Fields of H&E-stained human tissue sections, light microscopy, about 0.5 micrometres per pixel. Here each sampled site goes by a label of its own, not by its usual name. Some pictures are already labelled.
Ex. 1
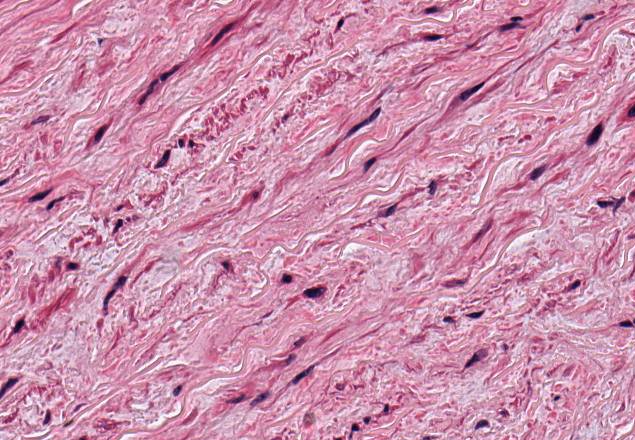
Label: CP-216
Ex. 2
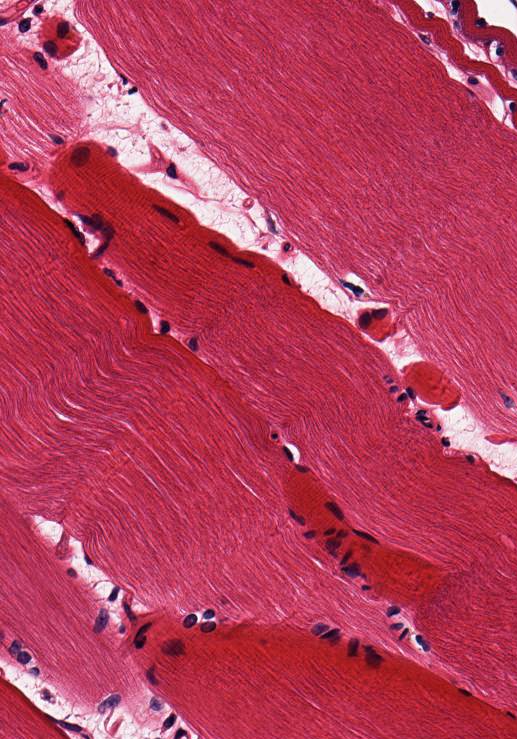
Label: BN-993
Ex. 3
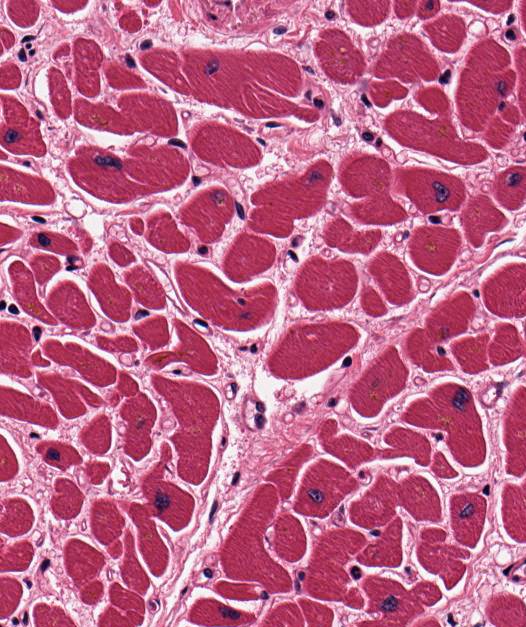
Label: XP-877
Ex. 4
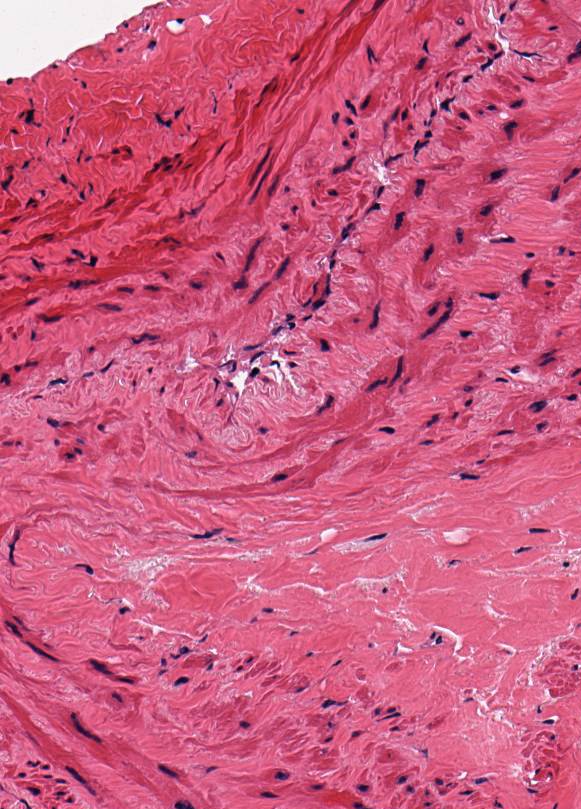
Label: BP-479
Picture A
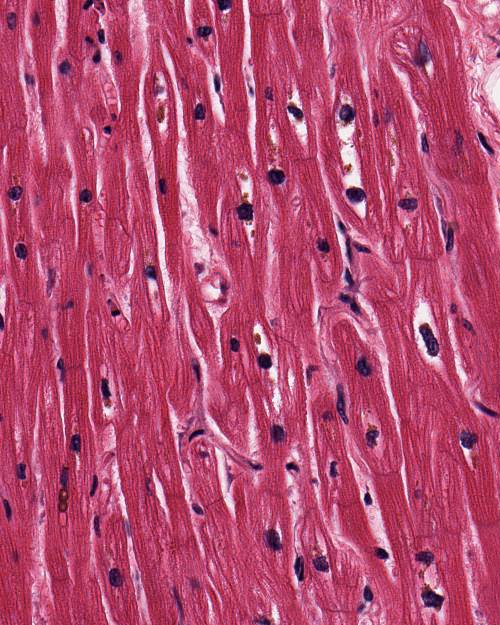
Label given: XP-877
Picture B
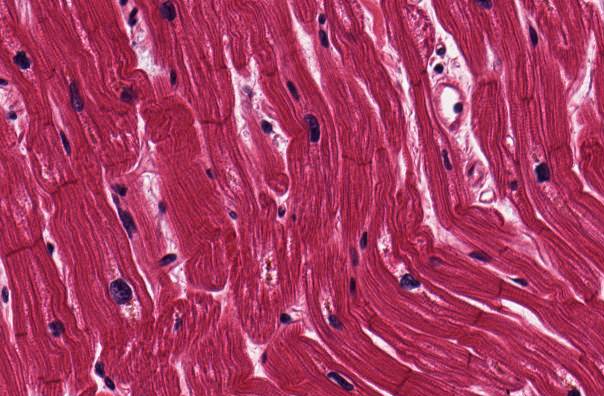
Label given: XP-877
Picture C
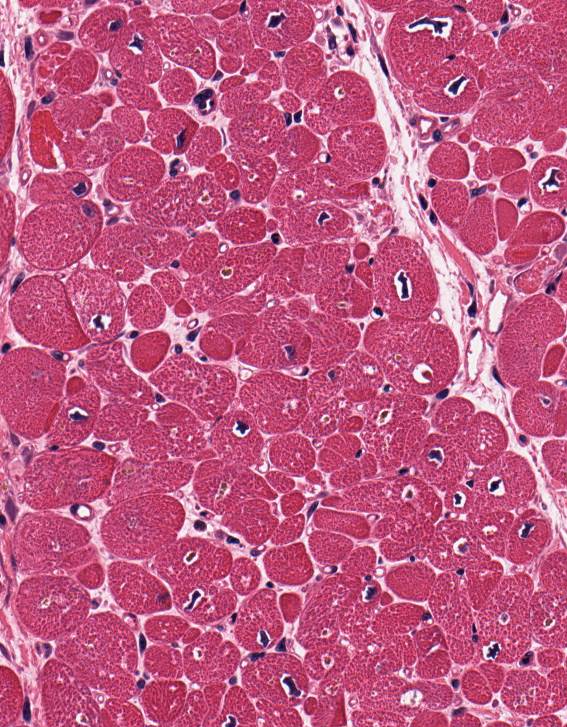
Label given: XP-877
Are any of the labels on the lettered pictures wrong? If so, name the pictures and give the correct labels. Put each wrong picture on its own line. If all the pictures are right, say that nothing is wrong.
Nothing to fix; every label fits.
